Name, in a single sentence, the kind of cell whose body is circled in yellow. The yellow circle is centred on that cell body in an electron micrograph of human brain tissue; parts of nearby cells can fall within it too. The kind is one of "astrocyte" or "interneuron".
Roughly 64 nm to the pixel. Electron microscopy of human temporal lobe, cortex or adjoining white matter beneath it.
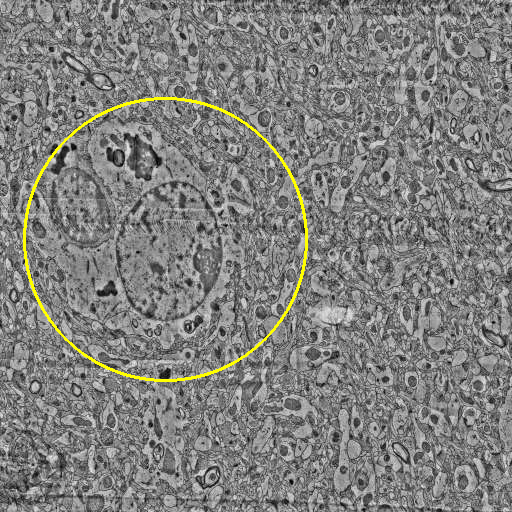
The circled cell body belongs to an astrocyte.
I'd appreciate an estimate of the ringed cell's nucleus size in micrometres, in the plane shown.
Approximately 9 micrometres long and 7 micrometres wide, in this plane.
